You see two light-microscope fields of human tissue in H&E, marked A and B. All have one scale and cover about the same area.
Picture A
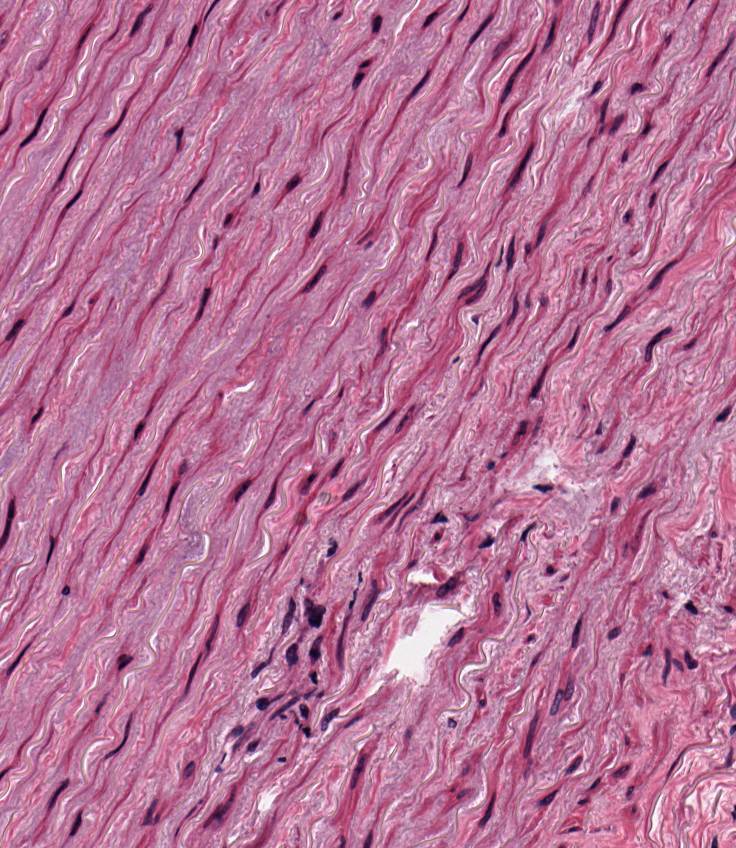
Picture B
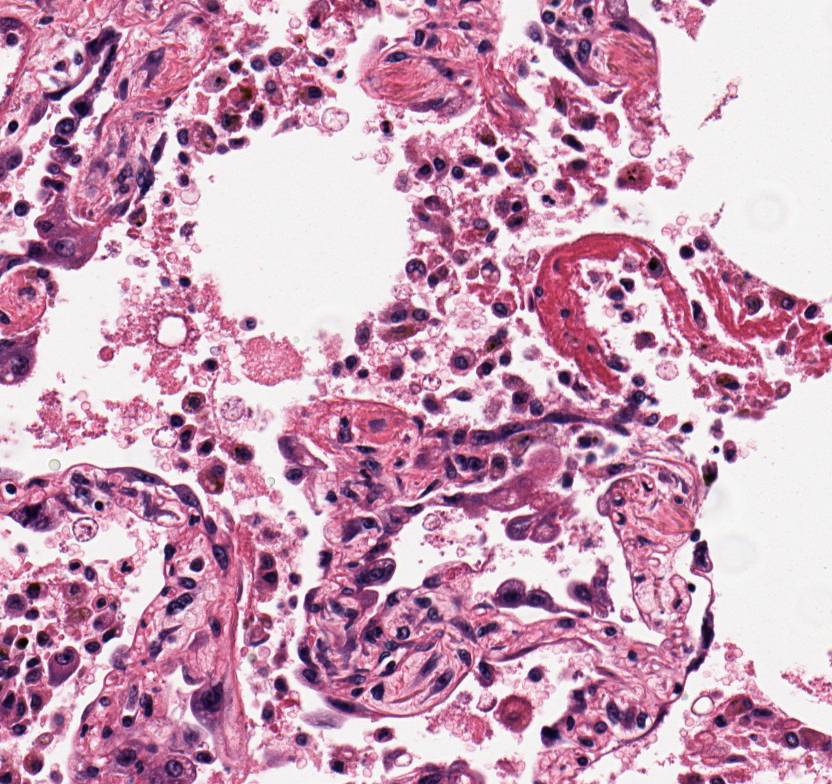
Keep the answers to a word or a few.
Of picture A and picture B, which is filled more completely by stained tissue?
A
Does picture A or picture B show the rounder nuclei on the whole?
B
